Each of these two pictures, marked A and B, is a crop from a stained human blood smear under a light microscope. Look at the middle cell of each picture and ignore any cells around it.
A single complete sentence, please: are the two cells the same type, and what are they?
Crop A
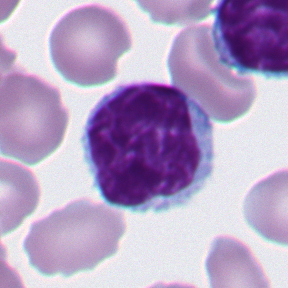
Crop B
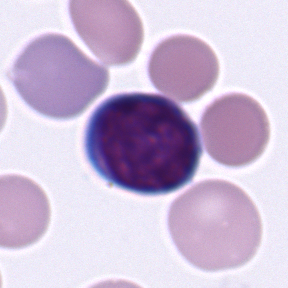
Yes, the cells in both crops are typical lymphocytes.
